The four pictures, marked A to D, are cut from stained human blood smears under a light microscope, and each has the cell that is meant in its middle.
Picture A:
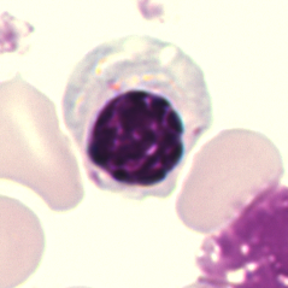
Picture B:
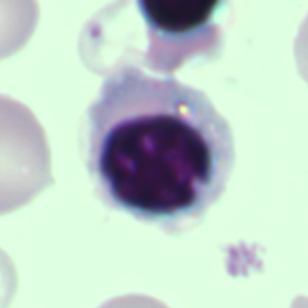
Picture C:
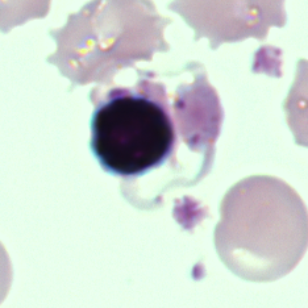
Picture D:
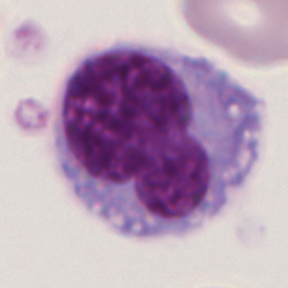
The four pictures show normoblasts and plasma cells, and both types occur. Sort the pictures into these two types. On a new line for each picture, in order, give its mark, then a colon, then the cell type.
A: normoblast
B: normoblast
C: normoblast
D: plasma cell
